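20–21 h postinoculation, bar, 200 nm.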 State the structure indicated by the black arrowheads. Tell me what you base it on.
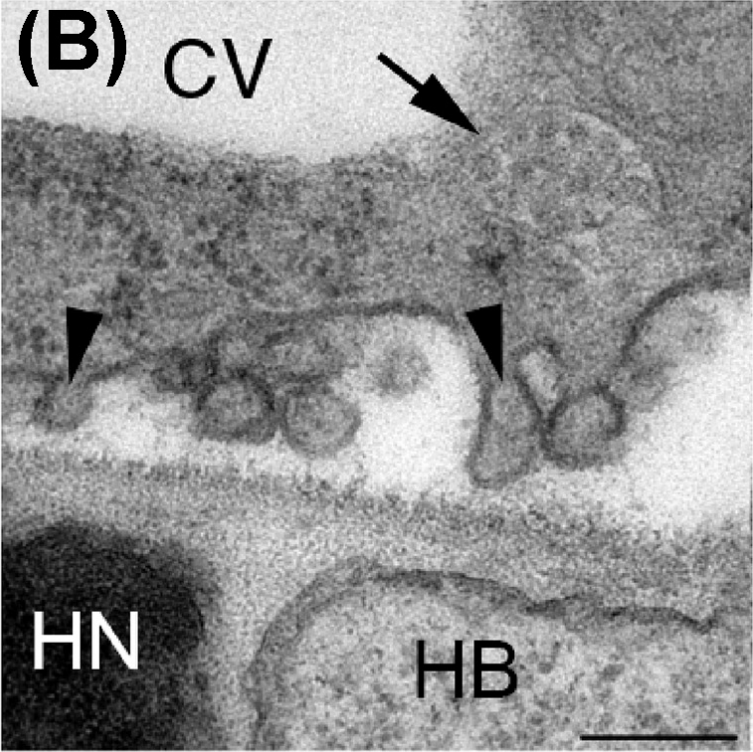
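Evaginations or protrusions of the extrahaustorial membrane. Small rounded membrane-bounded bulges hang from the edge of the granular cytoplasm into a pale space. The pale space lies between the cytoplasm and the membrane-bounded body at the bottom.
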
